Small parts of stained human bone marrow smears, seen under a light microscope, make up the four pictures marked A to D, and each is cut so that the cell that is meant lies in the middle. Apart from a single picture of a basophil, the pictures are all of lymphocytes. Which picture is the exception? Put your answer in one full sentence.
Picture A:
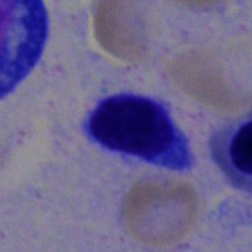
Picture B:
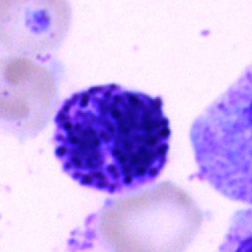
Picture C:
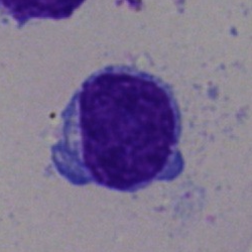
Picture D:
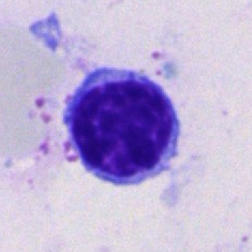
The cell in picture B is the basophil.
